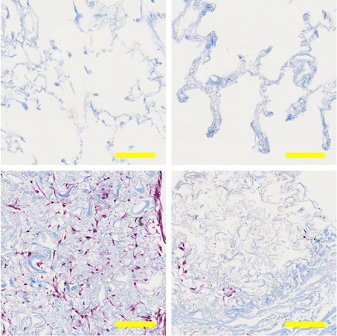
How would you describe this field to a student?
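In the upper images the blue strands carry no pink-staining cells, whereas in the lower left image numerous elongated, spindle-shaped cells with pink-red cytoplasm are spread densely through the blue matrix. In the lower right image only a few such spindle cells are seen among the blue strands.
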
